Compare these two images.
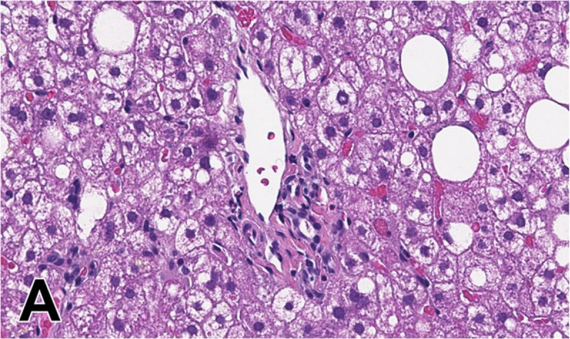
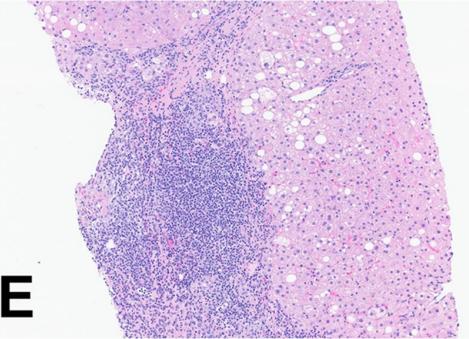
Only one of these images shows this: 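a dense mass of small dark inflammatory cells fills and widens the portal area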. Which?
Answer: The second image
